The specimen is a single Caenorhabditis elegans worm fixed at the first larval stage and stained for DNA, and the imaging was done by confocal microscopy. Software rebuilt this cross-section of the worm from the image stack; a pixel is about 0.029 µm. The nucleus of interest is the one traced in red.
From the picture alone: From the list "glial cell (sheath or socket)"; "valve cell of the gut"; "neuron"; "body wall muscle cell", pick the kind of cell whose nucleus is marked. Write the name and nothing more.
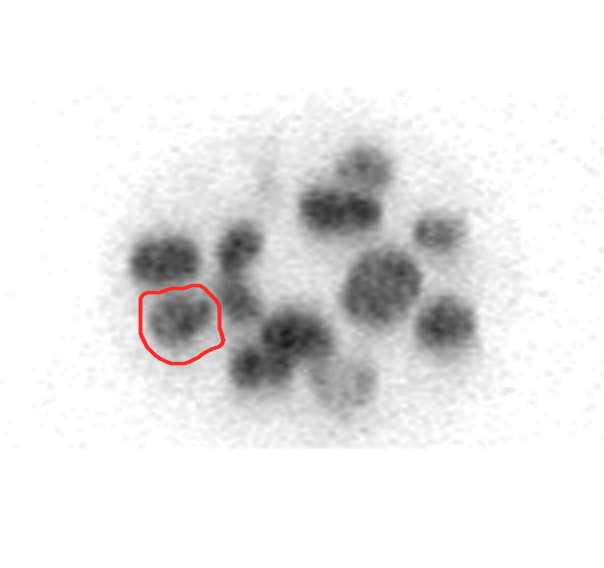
body wall muscle cell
